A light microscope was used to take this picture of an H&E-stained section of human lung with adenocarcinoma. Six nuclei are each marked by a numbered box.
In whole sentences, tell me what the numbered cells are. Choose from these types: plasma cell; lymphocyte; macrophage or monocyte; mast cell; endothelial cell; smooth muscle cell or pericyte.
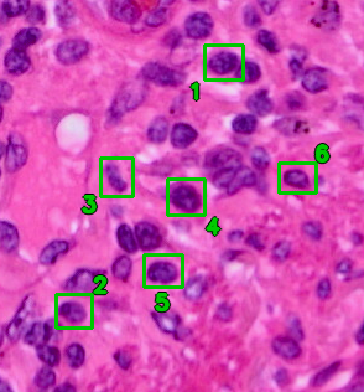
Cell 1 is a lymphocyte, cell 2 is a lymphocyte, cell 3 is a lymphocyte, cell 4 is a plasma cell, cell 5 is a lymphocyte and cell 6 is a mast cell.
